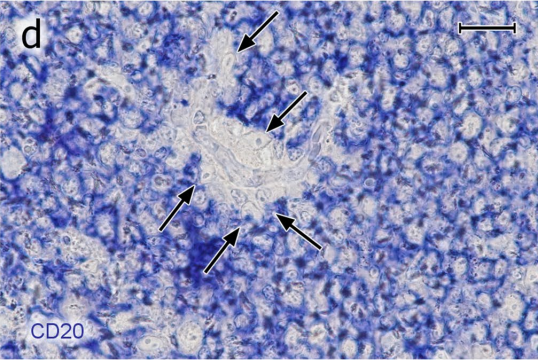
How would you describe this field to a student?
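In the middle lies a pale, unstained zone around a small microvessel. Unstained cells with oval nuclei sit at the surface of this vessel and keep the blue lymphocytes at a distance from its lining. The blue cells crowd right up to the edge of this pale zone but do not enter it.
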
